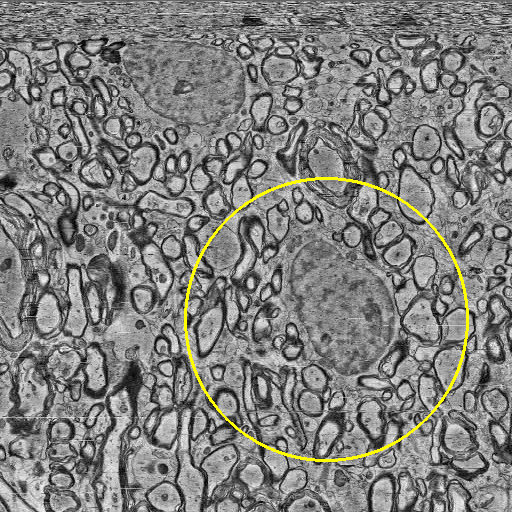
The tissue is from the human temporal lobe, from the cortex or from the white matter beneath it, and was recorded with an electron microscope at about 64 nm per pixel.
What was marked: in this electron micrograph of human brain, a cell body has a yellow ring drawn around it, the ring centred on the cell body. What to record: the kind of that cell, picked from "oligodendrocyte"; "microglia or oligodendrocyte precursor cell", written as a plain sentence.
The centred cell is an oligodendrocyte.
